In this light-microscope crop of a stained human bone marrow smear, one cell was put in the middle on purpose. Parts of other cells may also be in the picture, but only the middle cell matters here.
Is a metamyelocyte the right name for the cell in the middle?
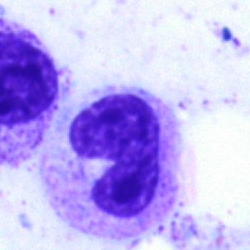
no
